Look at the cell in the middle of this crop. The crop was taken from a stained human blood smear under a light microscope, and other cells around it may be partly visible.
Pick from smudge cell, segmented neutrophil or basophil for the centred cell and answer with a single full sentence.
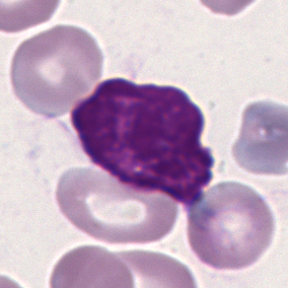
The cell in the middle of this crop is a smudge cell.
